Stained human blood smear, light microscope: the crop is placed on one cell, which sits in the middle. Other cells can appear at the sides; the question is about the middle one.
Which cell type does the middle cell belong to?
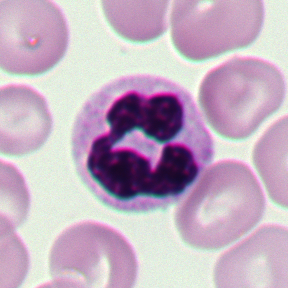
neutrophil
